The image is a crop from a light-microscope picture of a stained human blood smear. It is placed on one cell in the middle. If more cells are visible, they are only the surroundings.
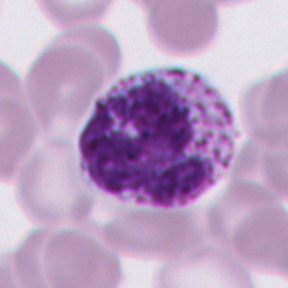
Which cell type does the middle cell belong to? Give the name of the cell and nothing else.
basophil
